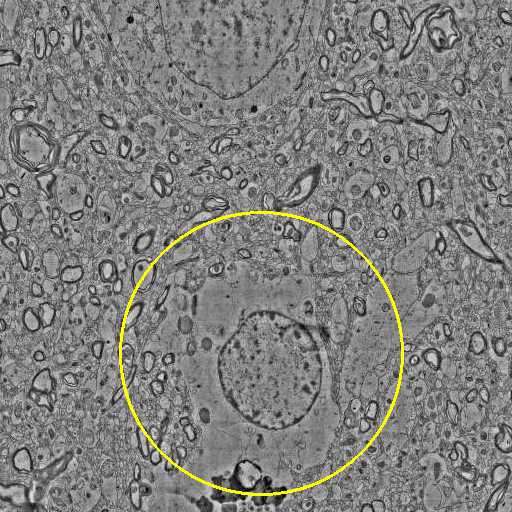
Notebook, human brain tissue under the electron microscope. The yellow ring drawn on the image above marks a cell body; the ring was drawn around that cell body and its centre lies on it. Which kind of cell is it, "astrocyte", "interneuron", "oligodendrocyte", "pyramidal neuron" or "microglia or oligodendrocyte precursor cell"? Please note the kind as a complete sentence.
The marked cell body is that of an astrocyte.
